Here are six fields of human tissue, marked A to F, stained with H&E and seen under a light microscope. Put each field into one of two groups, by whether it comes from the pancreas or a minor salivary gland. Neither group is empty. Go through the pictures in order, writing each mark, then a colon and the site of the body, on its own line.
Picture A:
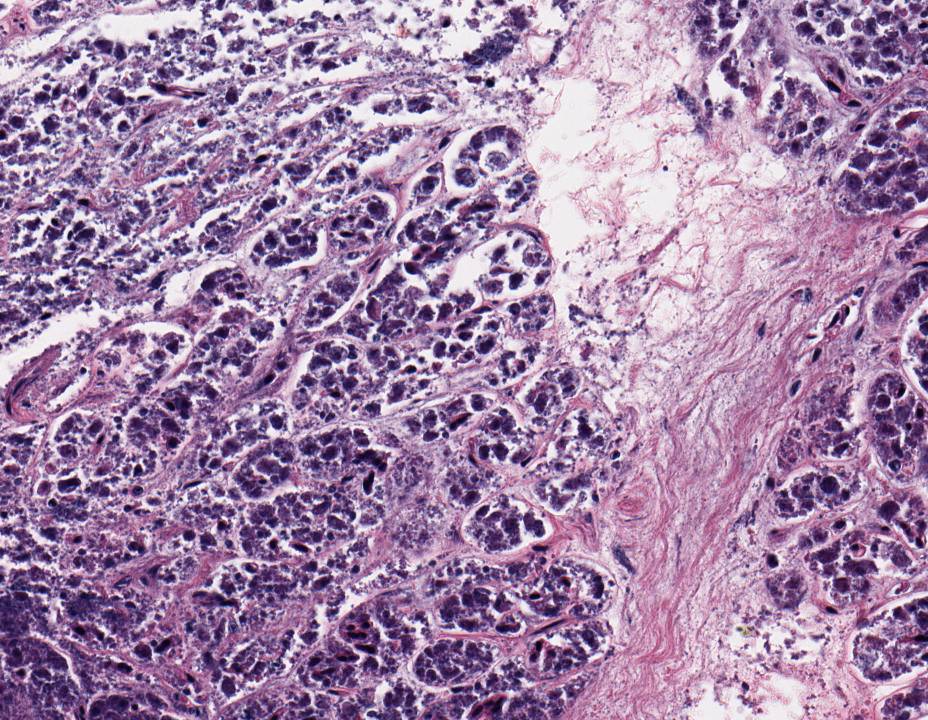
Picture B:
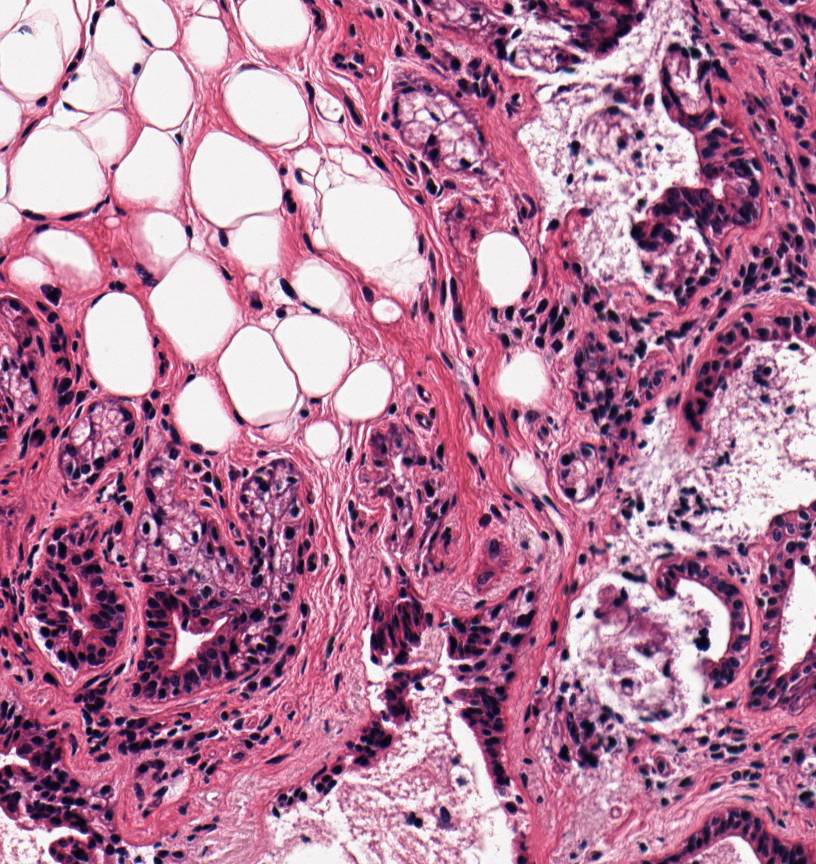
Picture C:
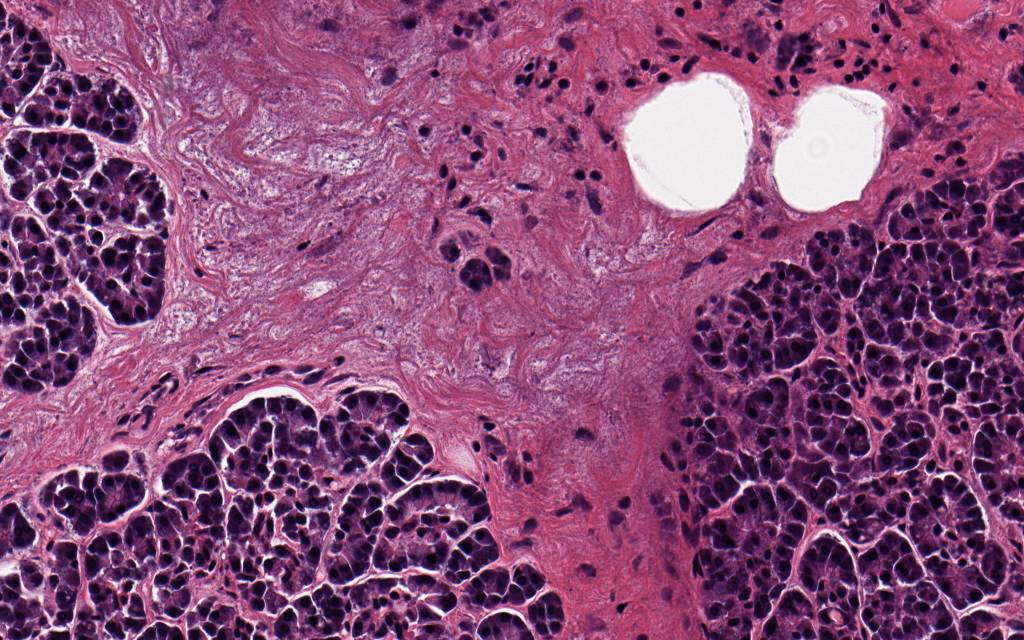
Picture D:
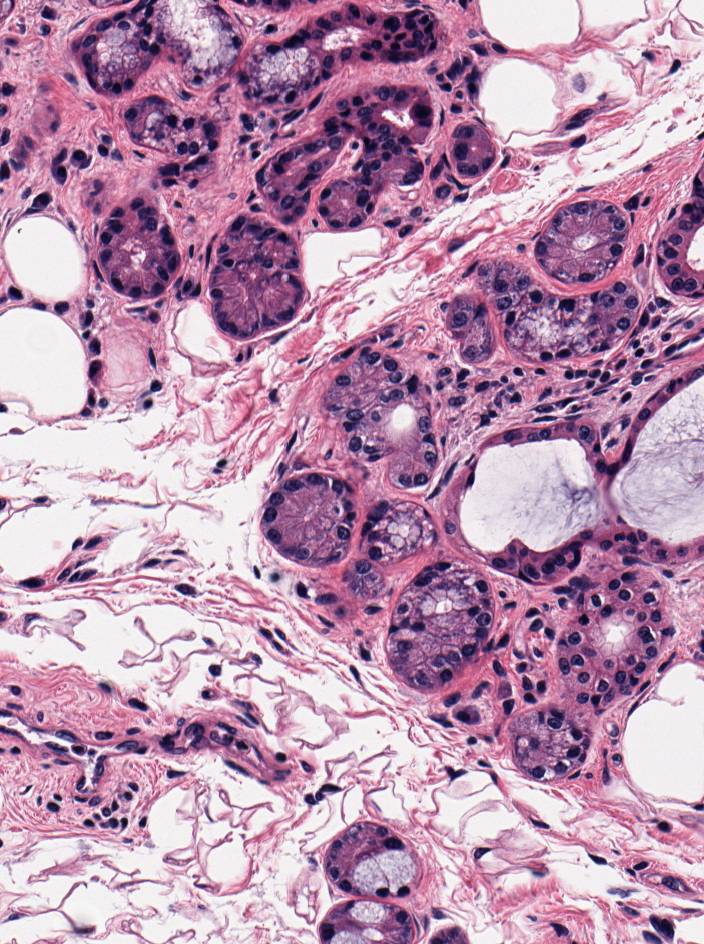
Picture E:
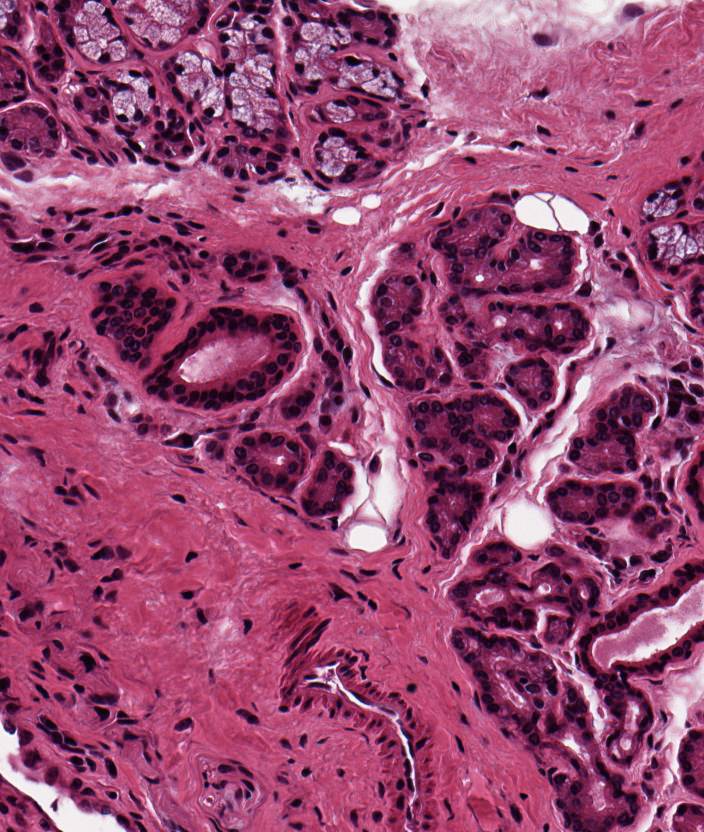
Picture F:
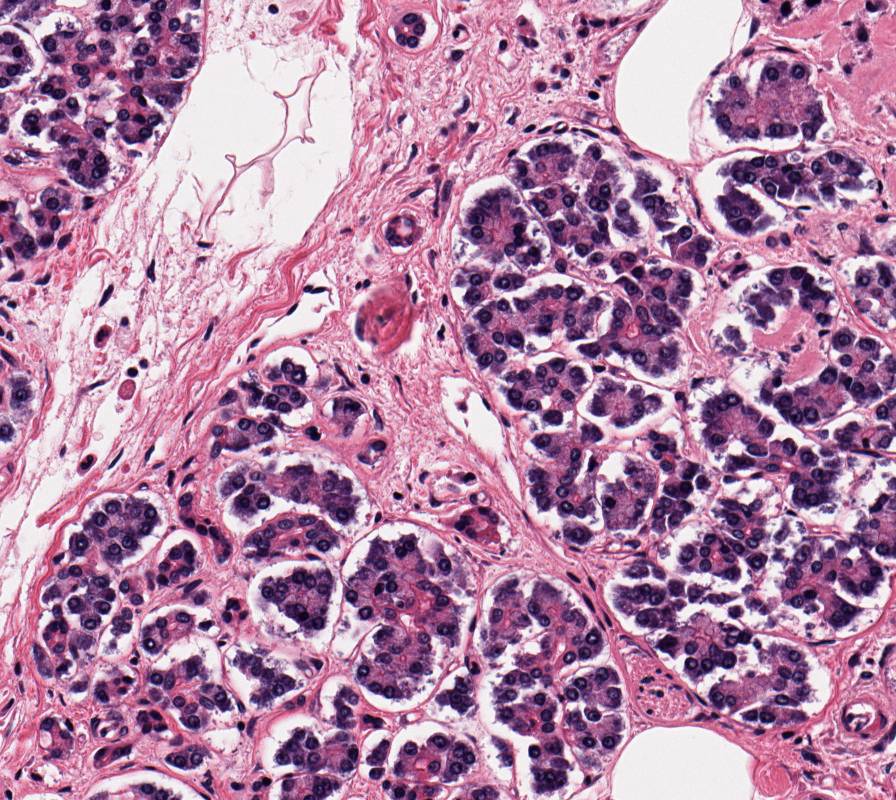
A: pancreas
B: minor salivary gland
C: pancreas
D: minor salivary gland
E: minor salivary gland
F: pancreas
